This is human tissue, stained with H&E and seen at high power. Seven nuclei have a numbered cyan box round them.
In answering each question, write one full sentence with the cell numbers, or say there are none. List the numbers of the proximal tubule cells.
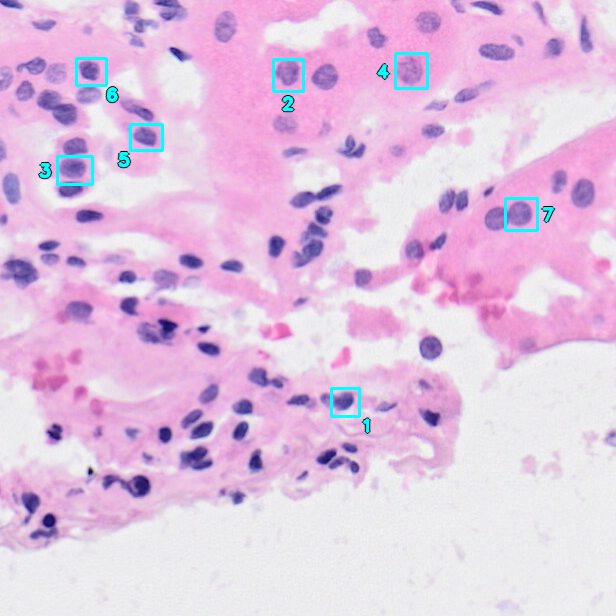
The cells with labels 2, 4 and 7 are proximal tubule cells.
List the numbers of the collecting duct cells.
Classified as collecting duct cells are the cells numbered 3, 5 and 6.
